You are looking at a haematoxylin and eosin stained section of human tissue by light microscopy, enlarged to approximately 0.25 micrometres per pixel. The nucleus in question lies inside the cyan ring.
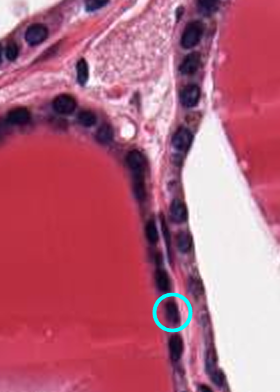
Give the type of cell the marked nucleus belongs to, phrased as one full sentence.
The marked nucleus is recognized as the nucleus of a thyroid follicular cell.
